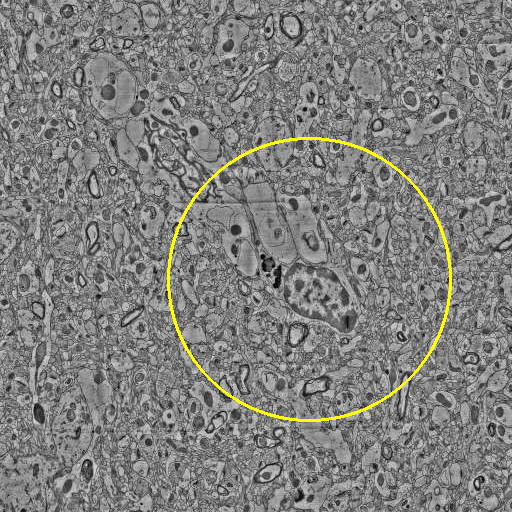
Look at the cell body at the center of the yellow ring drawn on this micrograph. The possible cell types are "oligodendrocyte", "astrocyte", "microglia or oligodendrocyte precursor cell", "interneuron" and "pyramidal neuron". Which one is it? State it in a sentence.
The cell in the middle of the ring is a microglial cell or oligodendrocyte precursor cell.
